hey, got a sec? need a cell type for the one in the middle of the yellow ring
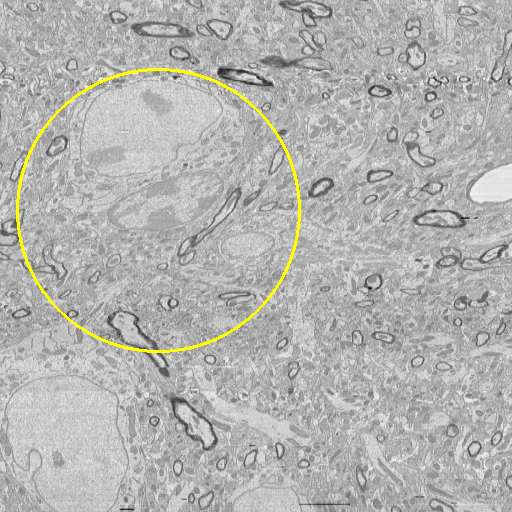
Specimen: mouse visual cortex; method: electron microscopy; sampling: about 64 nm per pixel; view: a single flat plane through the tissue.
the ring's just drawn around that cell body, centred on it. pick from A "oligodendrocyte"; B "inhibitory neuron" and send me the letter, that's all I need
A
